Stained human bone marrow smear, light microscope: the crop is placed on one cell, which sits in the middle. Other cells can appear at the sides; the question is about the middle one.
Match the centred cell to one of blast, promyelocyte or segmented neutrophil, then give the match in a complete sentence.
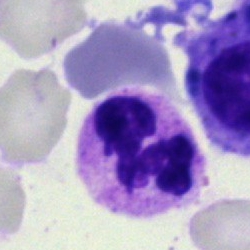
The cell sitting right in the middle is a segmented neutrophil.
